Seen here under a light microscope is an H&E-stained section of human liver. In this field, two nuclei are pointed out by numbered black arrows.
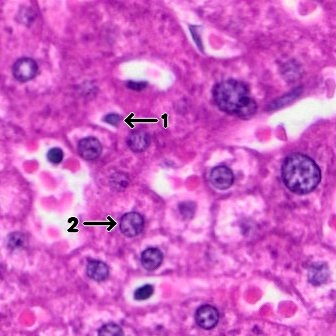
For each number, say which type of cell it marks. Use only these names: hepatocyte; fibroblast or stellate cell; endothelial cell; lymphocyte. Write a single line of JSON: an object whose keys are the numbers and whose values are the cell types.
{"1": "lymphocyte", "2": "hepatocyte"}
